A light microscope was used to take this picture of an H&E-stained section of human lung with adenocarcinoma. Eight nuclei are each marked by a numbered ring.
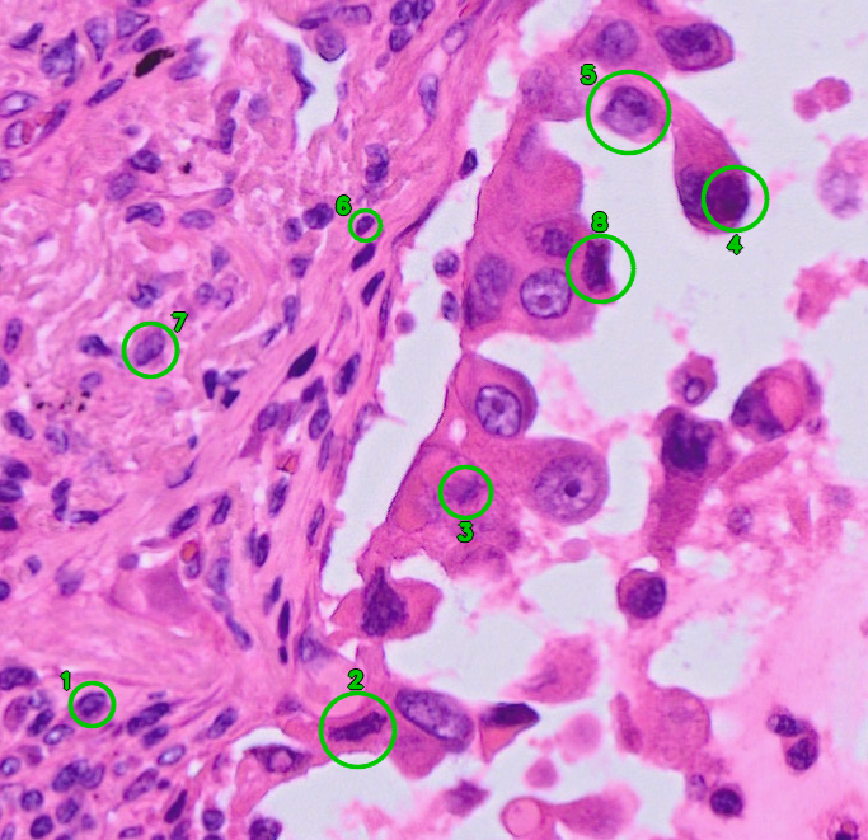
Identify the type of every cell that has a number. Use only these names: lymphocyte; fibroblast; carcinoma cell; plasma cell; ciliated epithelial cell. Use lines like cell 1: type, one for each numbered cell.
cell 1: plasma cell
cell 2: carcinoma cell
cell 3: carcinoma cell
cell 4: carcinoma cell
cell 5: carcinoma cell
cell 6: lymphocyte
cell 7: plasma cell
cell 8: carcinoma cell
